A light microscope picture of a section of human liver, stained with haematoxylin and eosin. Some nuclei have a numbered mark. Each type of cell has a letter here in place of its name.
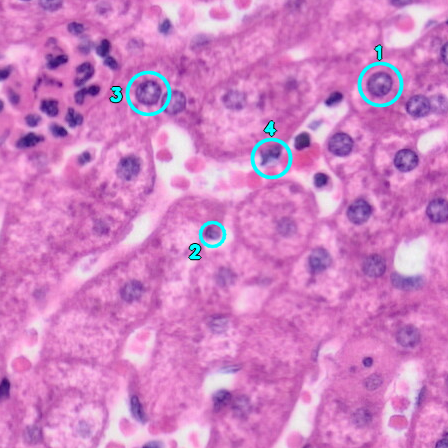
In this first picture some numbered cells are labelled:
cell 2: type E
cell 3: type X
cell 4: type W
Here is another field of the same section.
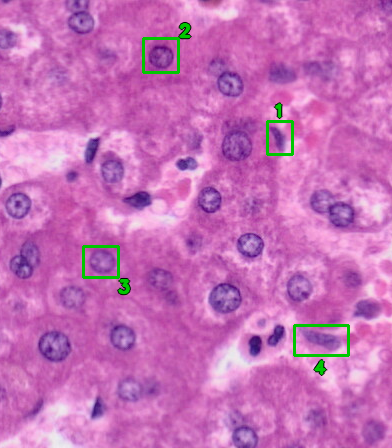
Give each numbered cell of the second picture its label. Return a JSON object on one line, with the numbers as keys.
{"1": "type W", "2": "type X", "3": "type X", "4": "type E"}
